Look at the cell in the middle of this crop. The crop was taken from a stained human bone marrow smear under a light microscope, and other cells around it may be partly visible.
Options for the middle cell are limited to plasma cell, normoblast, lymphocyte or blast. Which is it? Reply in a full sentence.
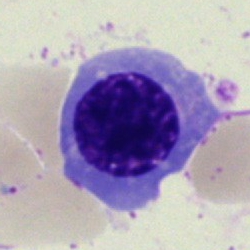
The central cell in this smear crop is a normoblast.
